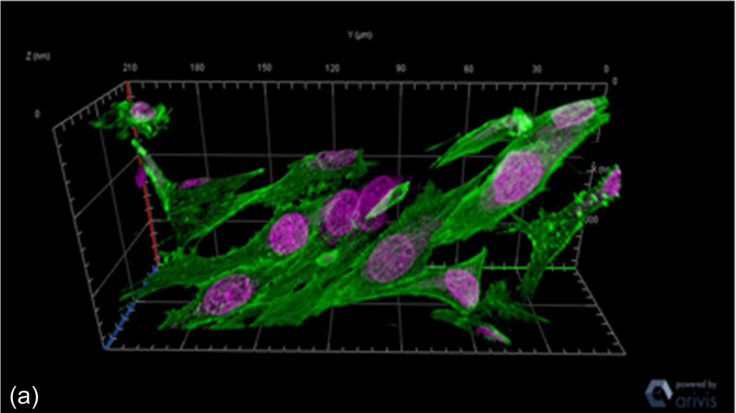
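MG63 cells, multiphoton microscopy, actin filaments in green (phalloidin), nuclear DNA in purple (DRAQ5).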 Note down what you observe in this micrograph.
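A three-dimensional rendering of a loose group of spindle-shaped cells shown on a black background. The cells are elongated, tapering toward both ends, and several overlap or lie side by side in a diagonal band. Their cytoplasm is filled by green fibrous strands that run mainly along the long axis of each cell, with finer ruffled extensions at the cell edges. A few smaller cells at the margins are more irregular, with short spiky projections.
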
